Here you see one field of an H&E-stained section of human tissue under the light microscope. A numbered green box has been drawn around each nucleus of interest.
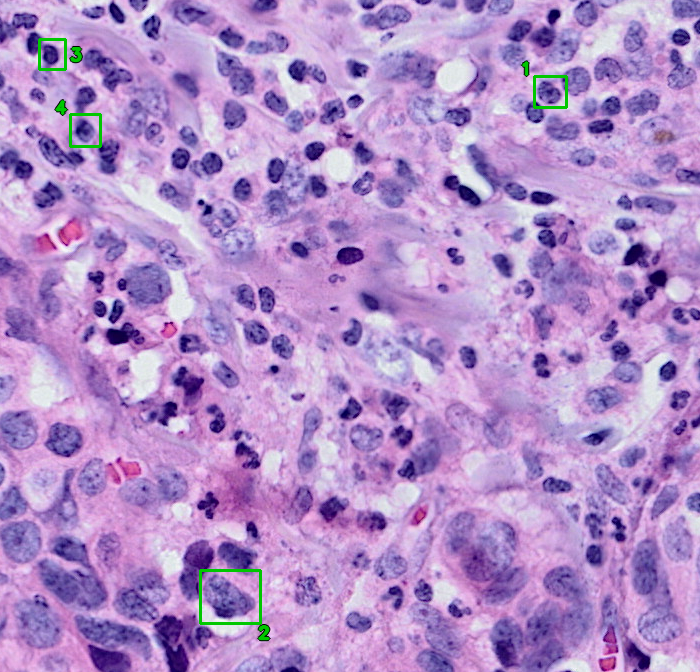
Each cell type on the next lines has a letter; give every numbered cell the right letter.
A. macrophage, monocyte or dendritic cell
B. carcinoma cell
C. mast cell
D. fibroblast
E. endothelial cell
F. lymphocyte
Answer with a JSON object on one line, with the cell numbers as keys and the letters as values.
{"1": "F", "2": "B", "3": "F", "4": "F"}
